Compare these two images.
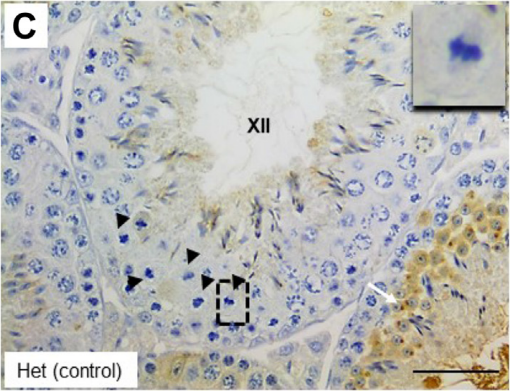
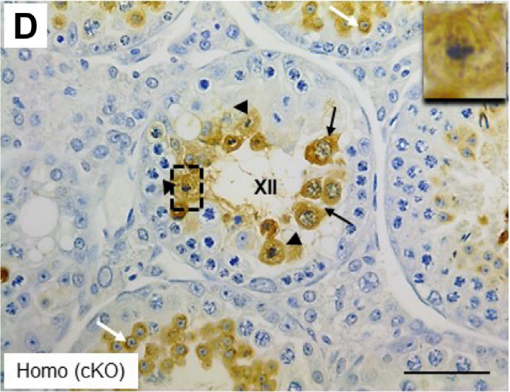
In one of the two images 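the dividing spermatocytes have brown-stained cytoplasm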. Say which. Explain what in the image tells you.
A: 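The second image. Second image: the cells with condensed chromosomes in the central tubule have brown cytoplasm. First image: the cells with condensed chromosomes are pale with only blue chromatin.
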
